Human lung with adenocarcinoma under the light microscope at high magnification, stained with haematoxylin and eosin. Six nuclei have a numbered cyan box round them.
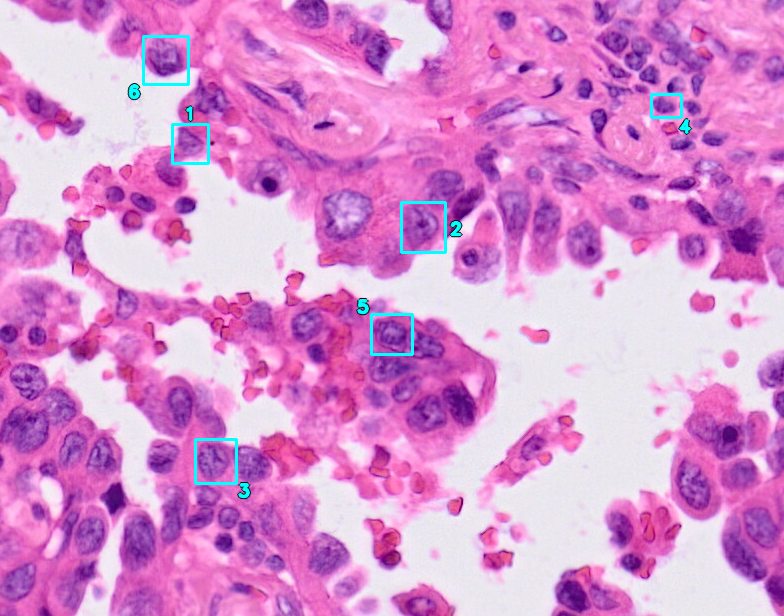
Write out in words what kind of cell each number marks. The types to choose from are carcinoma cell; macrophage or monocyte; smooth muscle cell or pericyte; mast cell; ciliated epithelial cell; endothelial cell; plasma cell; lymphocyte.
Cell 1 is a macrophage or monocyte. Cells 2, 3, 5 and 6 are carcinoma cells. Cell 4 is a lymphocyte.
